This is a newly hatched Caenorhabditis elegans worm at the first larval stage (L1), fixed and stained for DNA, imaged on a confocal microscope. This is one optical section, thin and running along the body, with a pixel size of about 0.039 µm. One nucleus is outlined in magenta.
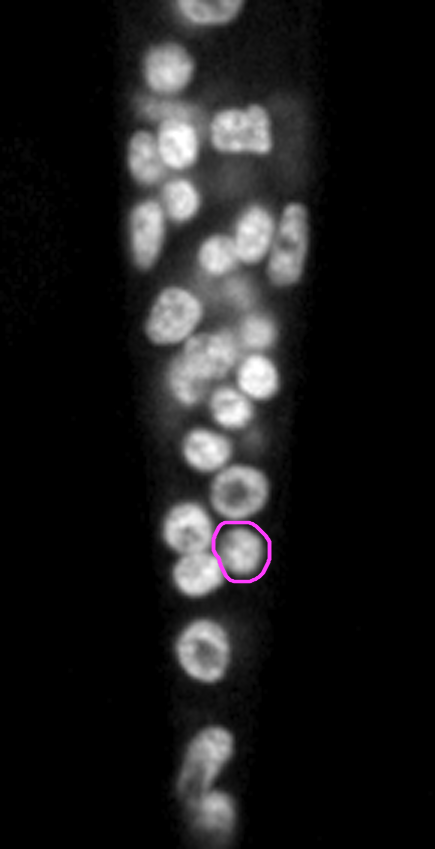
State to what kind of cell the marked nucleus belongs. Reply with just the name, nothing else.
neuron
